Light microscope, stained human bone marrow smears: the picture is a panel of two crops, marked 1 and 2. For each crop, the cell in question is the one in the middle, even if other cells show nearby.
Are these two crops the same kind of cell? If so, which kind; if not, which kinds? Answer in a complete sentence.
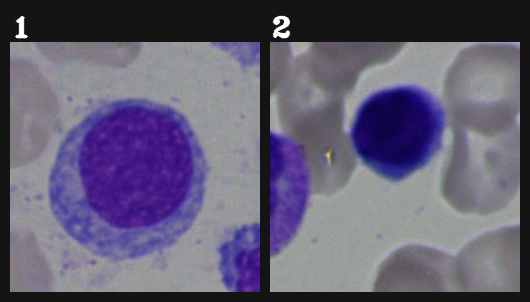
Yes, both crops show lymphocytes in the middle.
